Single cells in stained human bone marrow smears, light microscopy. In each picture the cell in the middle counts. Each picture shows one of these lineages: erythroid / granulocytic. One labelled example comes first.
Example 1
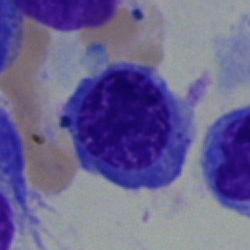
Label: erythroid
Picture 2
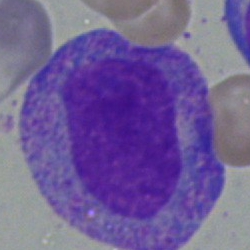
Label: granulocytic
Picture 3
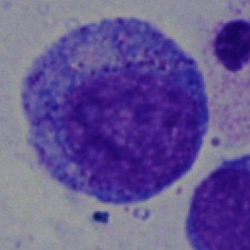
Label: granulocytic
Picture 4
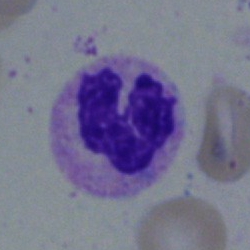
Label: granulocytic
